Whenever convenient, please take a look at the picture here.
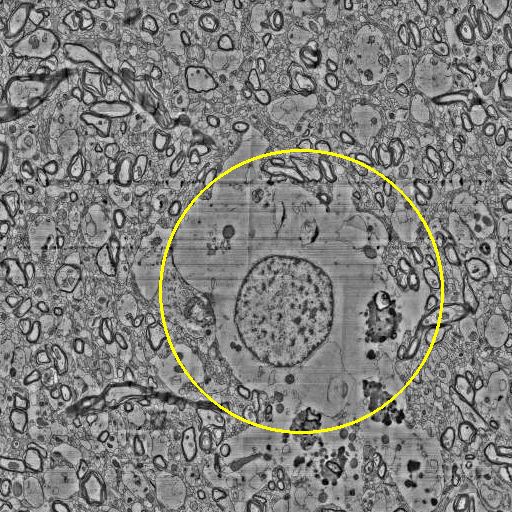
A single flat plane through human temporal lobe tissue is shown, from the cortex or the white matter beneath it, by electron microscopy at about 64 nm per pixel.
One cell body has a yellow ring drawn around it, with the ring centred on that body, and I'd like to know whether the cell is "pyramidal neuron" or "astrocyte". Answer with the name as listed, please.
astrocyte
